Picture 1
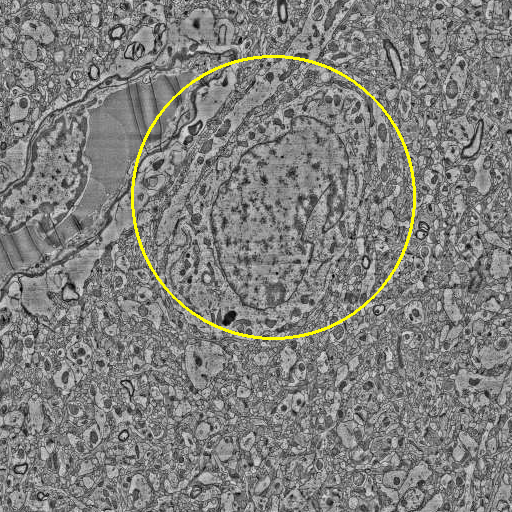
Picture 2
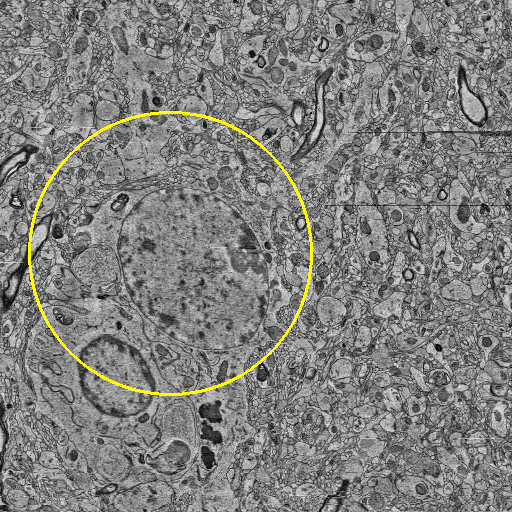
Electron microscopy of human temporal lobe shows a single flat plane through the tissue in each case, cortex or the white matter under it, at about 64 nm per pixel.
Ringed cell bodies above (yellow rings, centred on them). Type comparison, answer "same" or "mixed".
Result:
mixed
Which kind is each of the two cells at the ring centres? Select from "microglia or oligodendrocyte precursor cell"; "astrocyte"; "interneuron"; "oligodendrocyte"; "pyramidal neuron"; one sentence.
The cell at the centre of the ring is an interneuron in the first picture and an astrocyte in the second.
